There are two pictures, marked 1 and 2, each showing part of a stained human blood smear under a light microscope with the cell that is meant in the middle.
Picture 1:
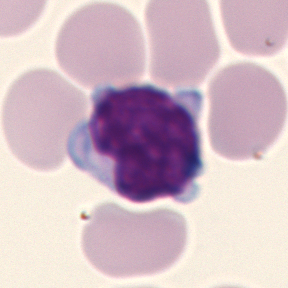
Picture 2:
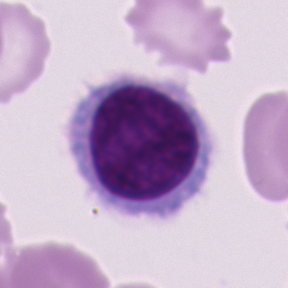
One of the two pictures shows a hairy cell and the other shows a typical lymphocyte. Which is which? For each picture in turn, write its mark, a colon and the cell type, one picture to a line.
1: typical lymphocyte
2: hairy cell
